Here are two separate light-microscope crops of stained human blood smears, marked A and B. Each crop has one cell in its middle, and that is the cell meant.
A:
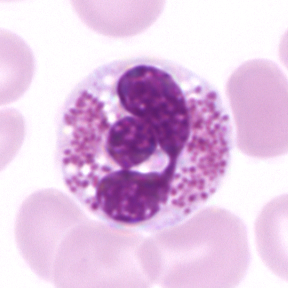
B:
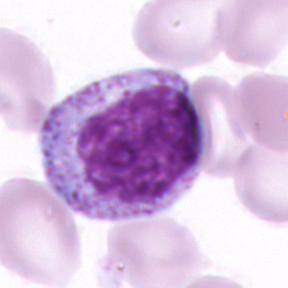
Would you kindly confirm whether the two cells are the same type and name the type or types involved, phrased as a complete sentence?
No, crop A depicts an eosinophil, and crop B depicts a myelocyte.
